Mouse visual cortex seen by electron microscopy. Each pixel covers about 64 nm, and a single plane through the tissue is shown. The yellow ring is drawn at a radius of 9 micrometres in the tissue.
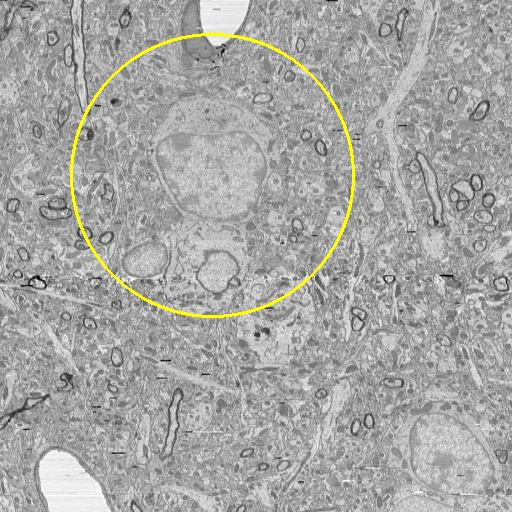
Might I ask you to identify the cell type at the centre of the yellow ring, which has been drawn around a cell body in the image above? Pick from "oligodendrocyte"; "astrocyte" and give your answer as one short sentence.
The centre of the ring falls on an oligodendrocyte.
